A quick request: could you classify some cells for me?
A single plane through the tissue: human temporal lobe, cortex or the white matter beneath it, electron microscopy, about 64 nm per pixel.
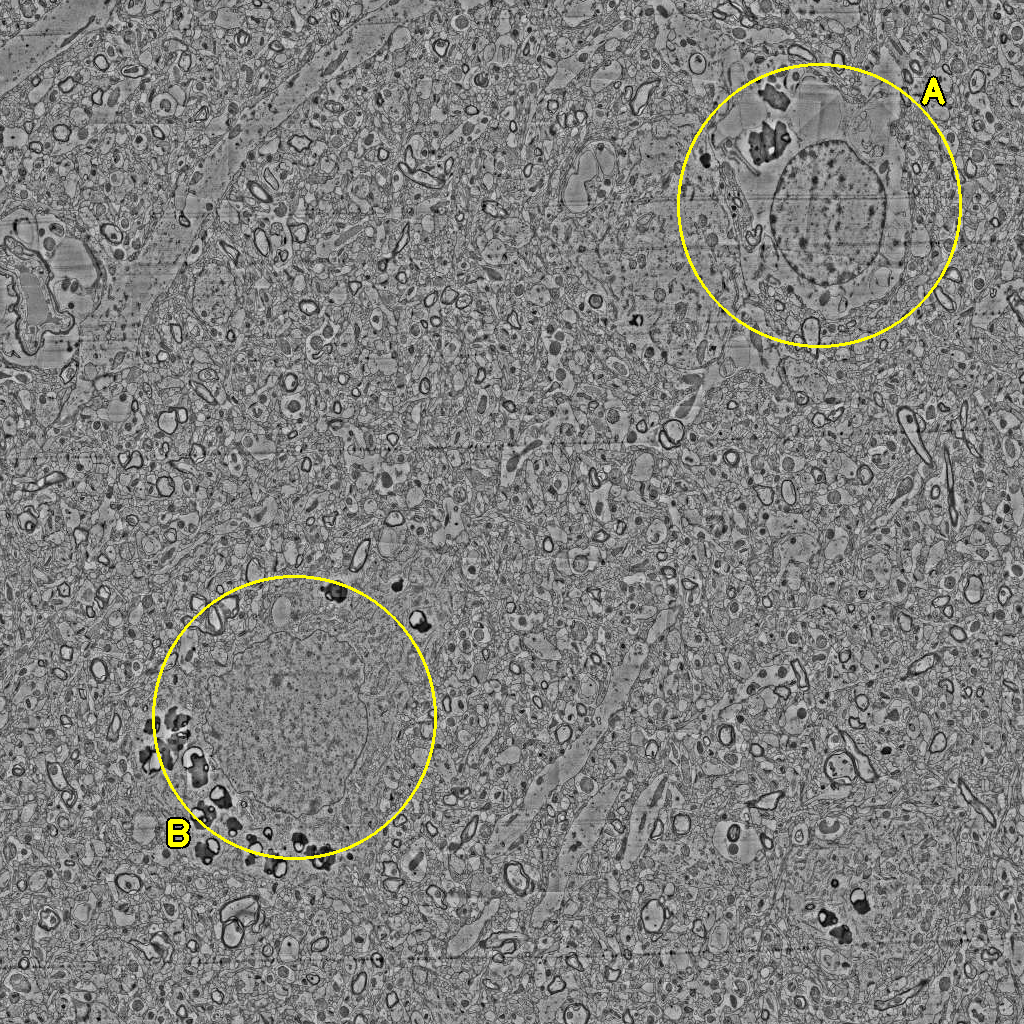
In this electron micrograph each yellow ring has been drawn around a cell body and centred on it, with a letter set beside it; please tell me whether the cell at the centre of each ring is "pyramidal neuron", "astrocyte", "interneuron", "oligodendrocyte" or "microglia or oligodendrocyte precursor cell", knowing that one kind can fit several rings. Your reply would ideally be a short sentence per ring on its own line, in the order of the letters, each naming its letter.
Ring A has an astrocyte at its centre.
Ring B has a pyramidal neuron at its centre.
